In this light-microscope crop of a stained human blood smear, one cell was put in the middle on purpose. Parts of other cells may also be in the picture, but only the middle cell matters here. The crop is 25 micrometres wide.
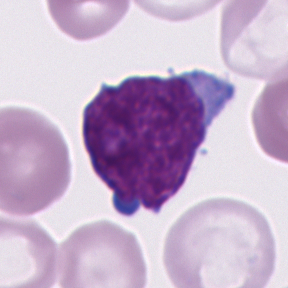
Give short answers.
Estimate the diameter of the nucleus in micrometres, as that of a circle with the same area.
11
